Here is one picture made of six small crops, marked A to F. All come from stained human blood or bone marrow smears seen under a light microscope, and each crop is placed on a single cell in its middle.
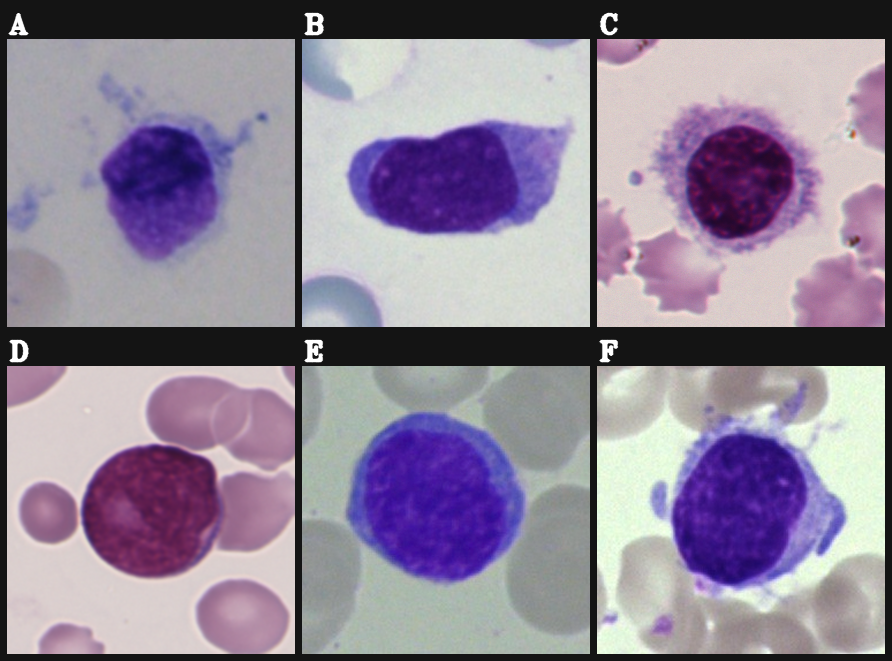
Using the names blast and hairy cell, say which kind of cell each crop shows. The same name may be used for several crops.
A: hairy cell
B: blast
C: hairy cell
D: blast
E: blast
F: hairy cell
